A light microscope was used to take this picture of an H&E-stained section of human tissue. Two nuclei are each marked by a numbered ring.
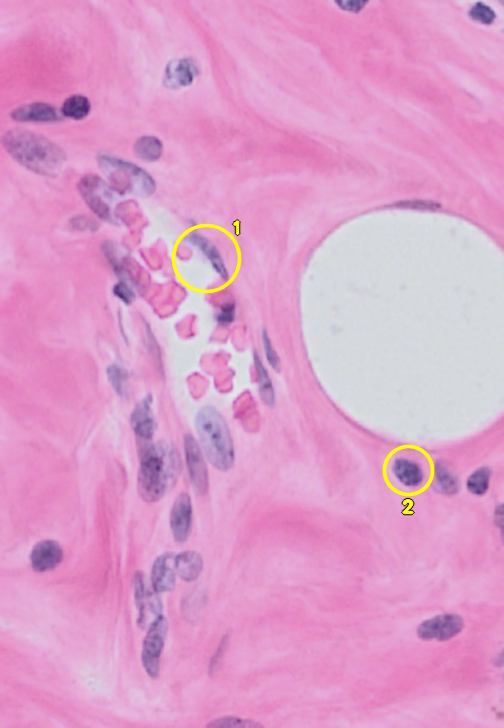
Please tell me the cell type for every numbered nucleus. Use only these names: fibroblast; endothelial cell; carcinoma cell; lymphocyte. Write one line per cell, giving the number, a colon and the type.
1: endothelial cell
2: lymphocyte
